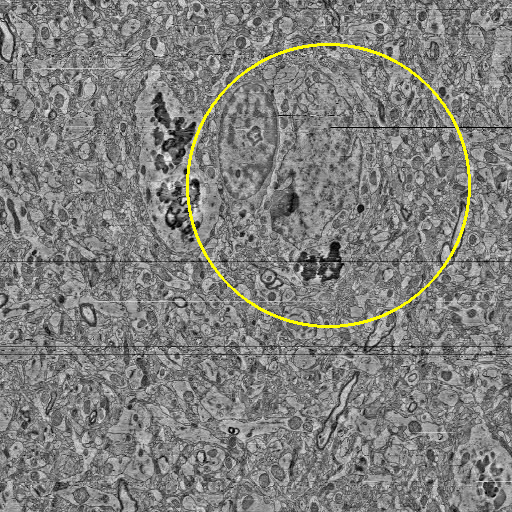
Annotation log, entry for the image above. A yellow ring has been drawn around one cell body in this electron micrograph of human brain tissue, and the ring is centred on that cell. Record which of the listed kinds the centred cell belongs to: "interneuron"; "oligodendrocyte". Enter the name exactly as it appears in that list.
interneuron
